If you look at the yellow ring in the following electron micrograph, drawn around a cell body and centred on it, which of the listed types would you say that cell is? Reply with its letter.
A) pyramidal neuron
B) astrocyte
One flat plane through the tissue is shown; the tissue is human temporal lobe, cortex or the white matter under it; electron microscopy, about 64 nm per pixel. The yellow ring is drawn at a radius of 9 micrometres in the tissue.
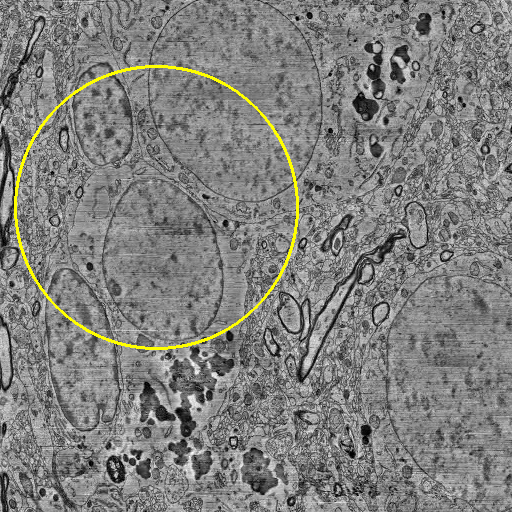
B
